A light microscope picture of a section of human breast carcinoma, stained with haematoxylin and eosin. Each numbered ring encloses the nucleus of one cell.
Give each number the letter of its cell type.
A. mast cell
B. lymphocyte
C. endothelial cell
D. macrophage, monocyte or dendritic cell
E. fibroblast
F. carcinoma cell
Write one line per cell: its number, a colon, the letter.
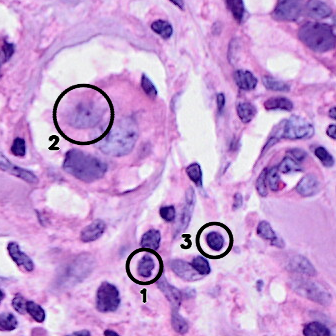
1: B
2: F
3: B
